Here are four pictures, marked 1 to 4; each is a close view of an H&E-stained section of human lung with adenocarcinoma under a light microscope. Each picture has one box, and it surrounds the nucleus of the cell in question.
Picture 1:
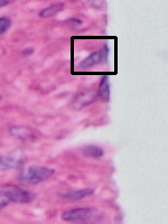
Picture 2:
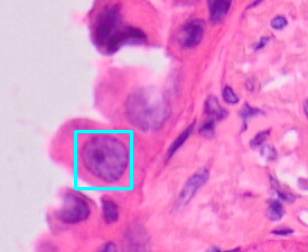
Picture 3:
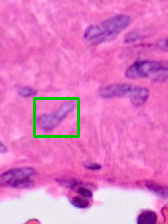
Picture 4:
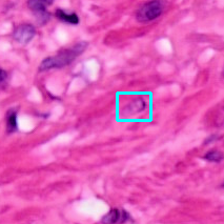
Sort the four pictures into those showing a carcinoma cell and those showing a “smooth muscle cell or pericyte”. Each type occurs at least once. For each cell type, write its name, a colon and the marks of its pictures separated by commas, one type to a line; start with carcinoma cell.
carcinoma cell: 2
smooth muscle cell or pericyte: 1, 3, 4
